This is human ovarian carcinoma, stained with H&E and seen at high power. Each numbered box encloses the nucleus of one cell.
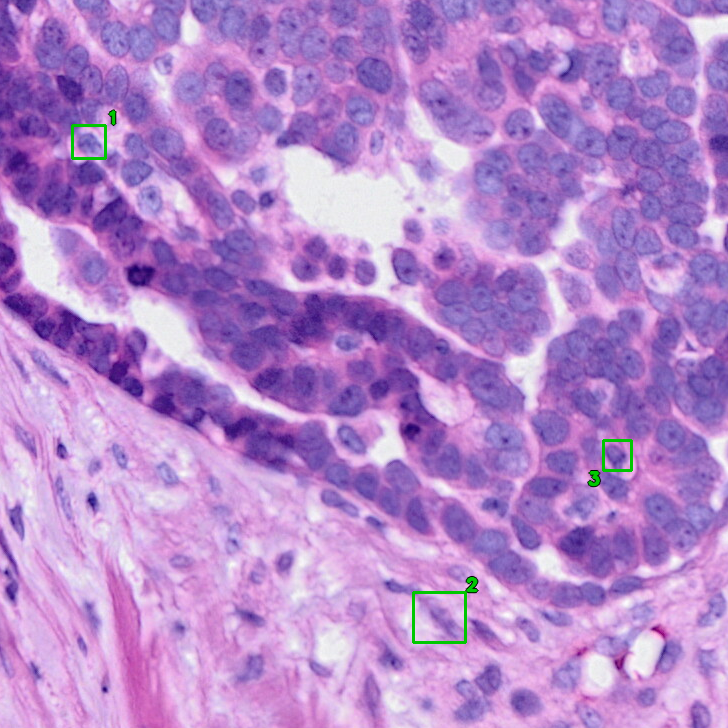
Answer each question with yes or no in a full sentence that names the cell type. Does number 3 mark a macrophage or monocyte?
Yes, the cell pointed out as number 3 is a macrophage or monocyte.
